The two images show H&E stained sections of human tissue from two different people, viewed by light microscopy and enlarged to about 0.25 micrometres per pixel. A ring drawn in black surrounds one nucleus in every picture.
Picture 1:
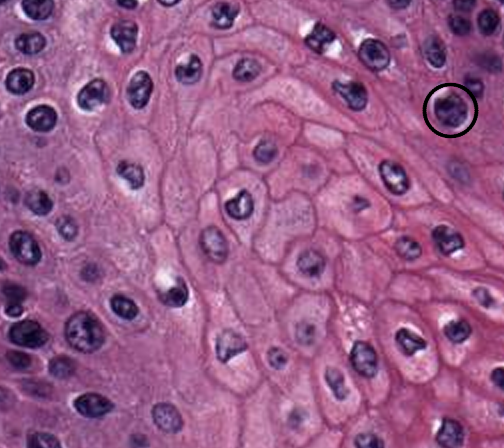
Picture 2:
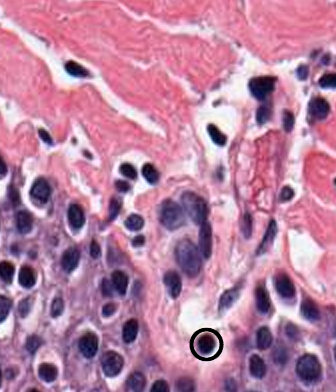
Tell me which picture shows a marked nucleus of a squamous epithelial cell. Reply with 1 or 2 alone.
1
